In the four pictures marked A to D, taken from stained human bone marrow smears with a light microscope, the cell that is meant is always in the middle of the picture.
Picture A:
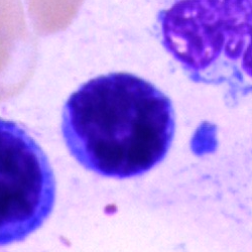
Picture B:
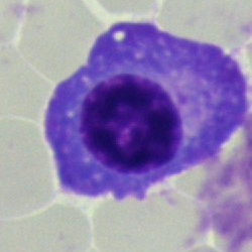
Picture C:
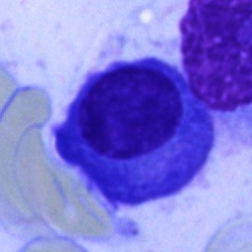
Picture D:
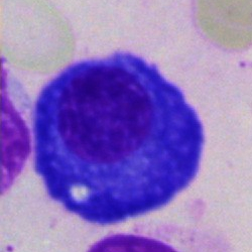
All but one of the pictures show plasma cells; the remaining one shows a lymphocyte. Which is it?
A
